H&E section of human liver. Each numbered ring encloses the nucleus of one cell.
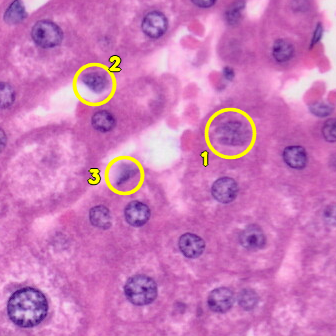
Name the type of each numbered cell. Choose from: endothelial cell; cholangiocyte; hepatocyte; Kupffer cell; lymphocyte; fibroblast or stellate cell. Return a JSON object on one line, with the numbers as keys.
{"1": "hepatocyte", "2": "endothelial cell", "3": "endothelial cell"}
